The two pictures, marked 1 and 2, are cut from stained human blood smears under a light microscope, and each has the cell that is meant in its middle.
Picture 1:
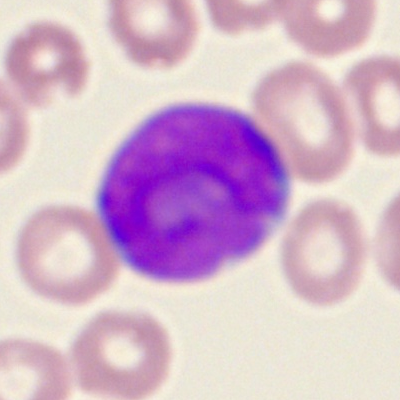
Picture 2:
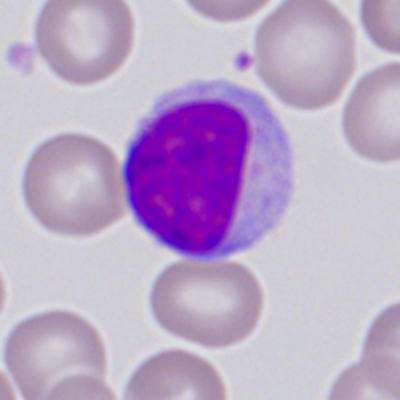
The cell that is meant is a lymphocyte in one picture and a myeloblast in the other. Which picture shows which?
1: myeloblast
2: lymphocyte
